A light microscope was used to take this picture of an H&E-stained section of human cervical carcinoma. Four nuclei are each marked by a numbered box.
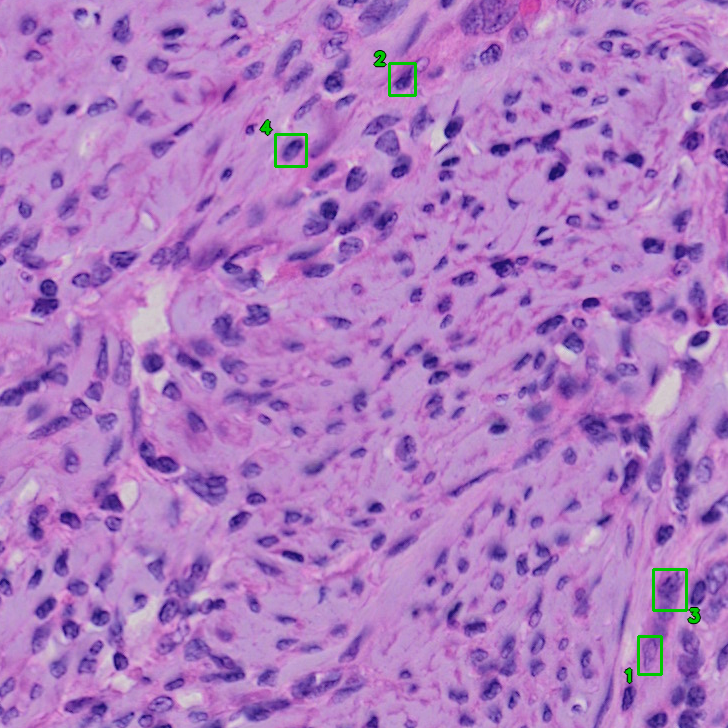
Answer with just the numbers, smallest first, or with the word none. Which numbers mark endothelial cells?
1, 2, 3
